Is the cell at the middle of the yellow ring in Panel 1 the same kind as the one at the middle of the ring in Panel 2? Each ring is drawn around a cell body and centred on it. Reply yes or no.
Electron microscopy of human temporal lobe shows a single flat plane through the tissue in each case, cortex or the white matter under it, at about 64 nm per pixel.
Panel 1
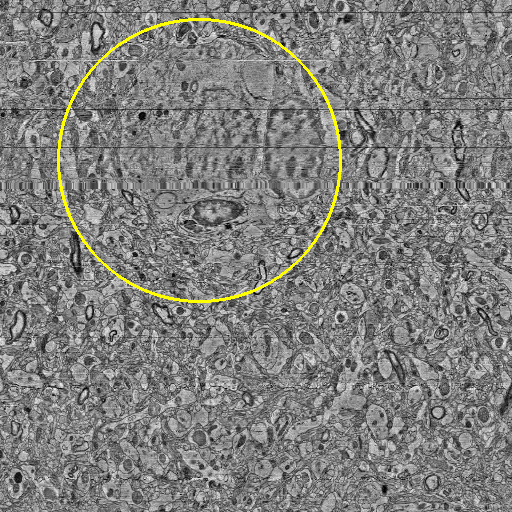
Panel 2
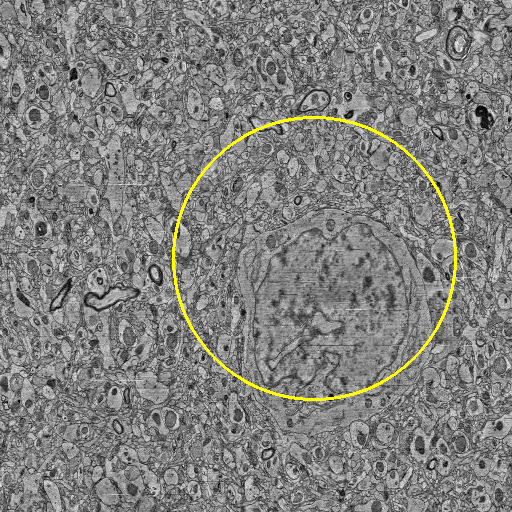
yes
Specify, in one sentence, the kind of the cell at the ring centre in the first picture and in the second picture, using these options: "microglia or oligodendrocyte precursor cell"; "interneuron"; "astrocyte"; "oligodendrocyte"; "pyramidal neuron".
Each cell, in the first picture and the second, is an interneuron.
